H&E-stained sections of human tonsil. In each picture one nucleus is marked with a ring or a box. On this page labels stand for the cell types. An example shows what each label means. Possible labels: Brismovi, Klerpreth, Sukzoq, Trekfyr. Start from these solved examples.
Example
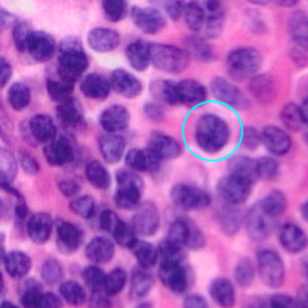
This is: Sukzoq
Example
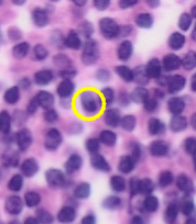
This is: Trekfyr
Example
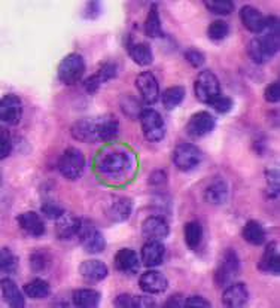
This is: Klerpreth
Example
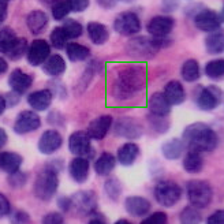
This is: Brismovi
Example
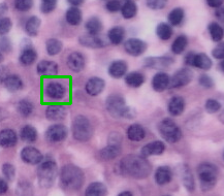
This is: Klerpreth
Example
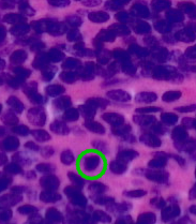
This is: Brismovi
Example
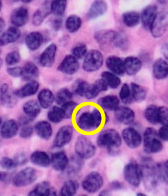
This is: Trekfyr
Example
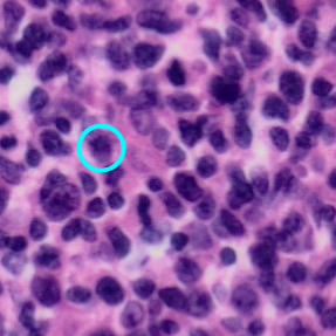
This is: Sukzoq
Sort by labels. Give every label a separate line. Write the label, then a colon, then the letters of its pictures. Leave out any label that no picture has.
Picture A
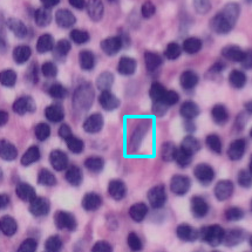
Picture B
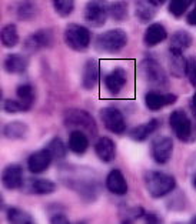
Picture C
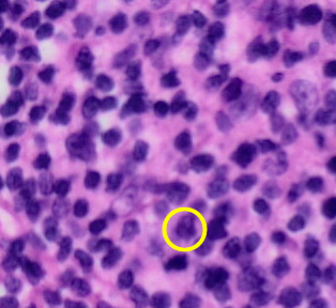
Brismovi: A
Sukzoq: C
Trekfyr: B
